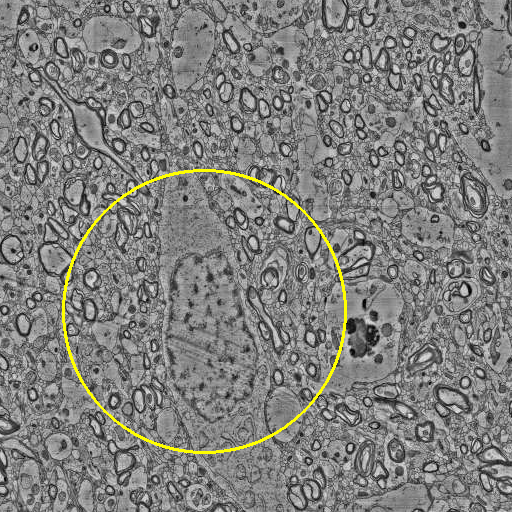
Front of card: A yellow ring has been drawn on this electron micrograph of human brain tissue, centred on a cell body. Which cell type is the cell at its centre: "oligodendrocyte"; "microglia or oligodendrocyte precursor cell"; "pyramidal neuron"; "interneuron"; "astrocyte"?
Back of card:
interneuron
